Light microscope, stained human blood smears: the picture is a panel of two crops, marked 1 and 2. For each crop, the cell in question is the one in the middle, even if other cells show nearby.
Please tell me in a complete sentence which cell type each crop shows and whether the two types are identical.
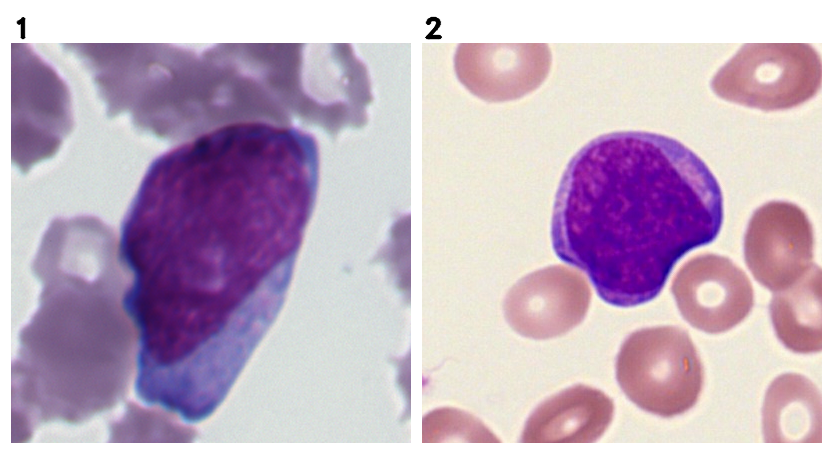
Yes, the centre of both crops is taken up by blasts.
